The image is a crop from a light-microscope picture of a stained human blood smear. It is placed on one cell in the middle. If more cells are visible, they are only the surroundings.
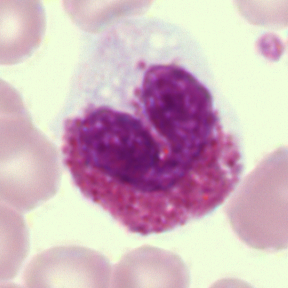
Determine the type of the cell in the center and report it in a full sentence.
The crop's centre is taken up by an eosinophil.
